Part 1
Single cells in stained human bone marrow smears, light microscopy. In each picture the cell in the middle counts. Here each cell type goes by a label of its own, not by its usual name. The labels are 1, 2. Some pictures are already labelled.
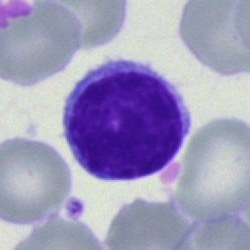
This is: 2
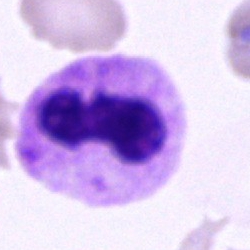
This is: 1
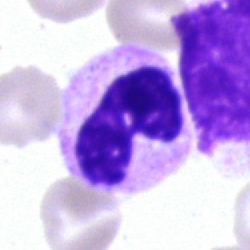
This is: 1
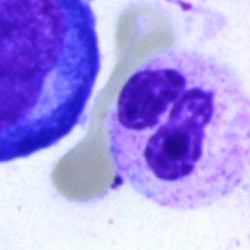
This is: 1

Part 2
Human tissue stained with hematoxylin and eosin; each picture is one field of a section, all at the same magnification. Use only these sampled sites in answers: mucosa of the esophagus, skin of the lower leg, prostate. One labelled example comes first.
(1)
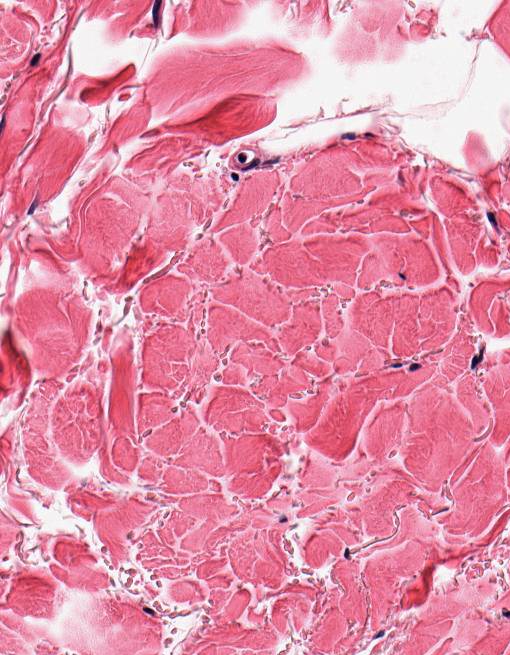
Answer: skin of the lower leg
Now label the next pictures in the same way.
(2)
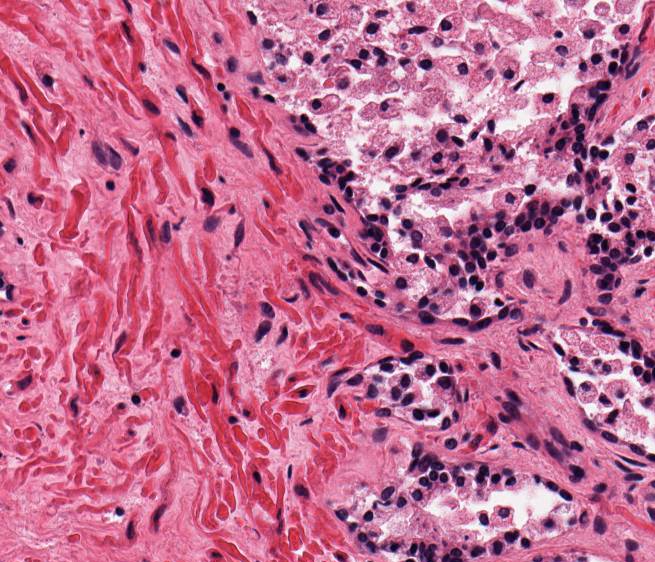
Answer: prostate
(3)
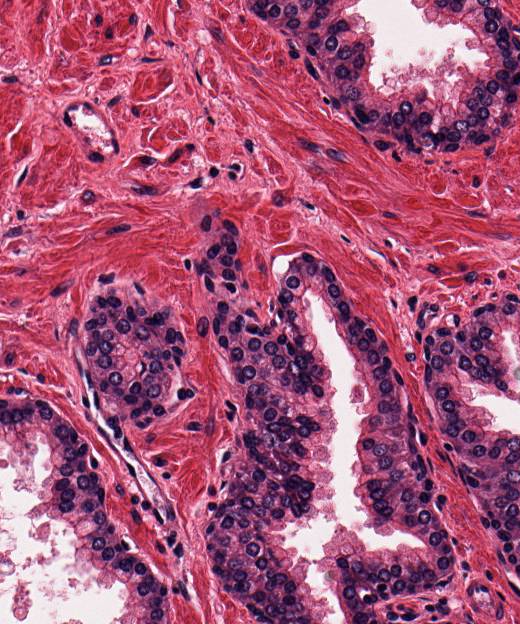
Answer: prostate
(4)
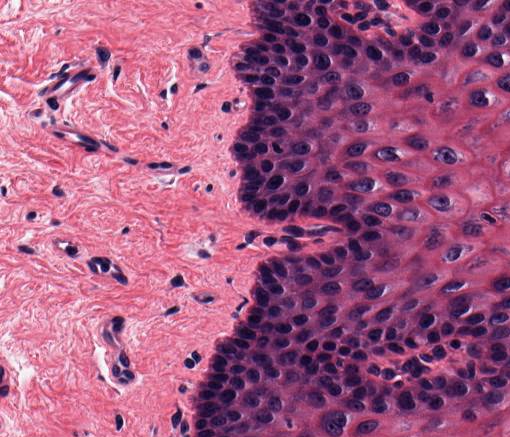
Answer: mucosa of the esophagus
